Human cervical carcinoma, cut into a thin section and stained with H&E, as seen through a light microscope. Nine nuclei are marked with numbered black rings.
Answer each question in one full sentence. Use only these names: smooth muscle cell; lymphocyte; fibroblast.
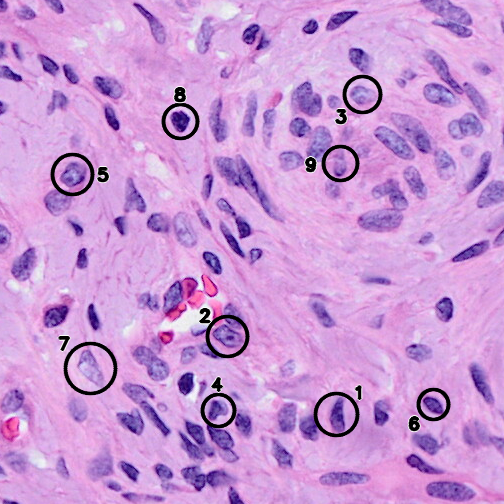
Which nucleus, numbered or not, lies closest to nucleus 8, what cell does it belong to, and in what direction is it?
Just to the right of nucleus 8 lies the nearest nucleus, which belongs to a fibroblast.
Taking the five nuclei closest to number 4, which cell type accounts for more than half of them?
The majority of the five nuclei closest to number 4 belong to fibroblasts.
